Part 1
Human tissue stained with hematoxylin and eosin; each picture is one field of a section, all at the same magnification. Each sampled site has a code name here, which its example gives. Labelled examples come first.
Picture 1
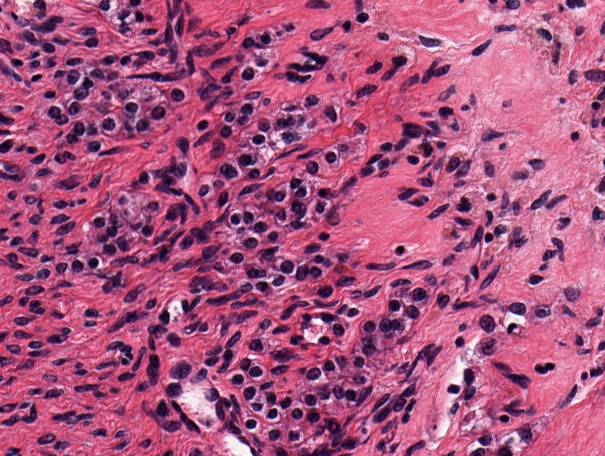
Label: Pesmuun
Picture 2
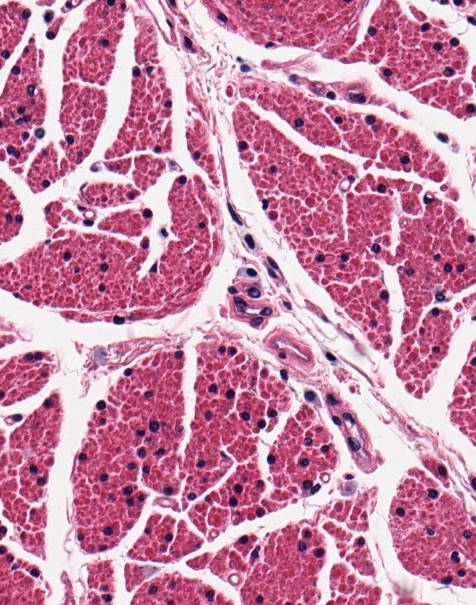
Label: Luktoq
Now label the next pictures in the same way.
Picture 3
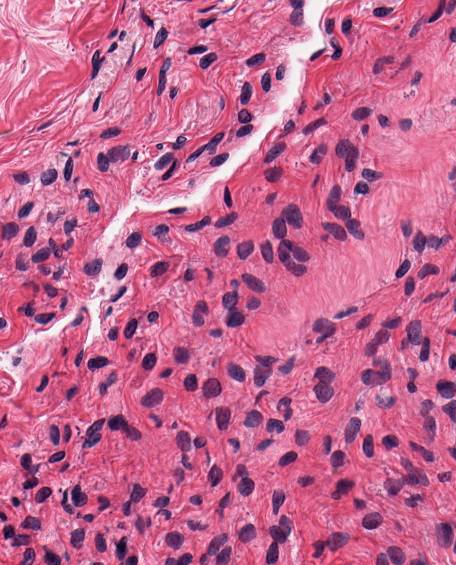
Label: Pesmuun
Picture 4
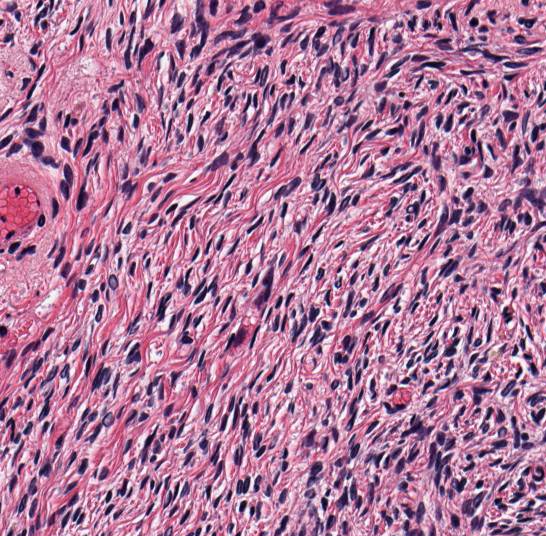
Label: Pesmuun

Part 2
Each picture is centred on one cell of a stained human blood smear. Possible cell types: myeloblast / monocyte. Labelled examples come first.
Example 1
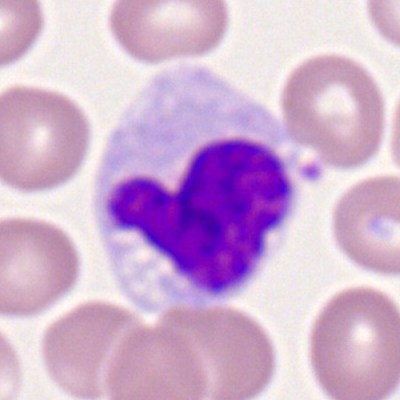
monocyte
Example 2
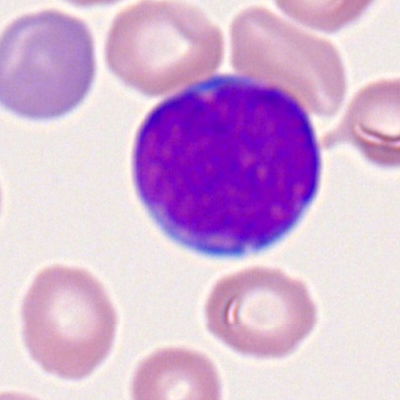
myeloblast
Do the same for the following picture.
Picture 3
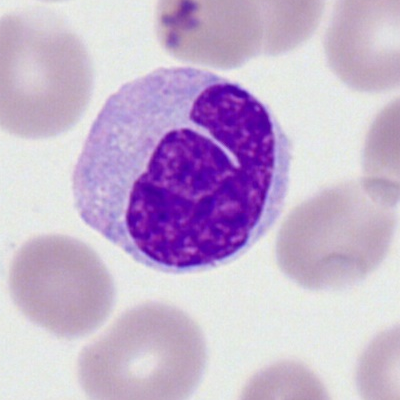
monocyte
